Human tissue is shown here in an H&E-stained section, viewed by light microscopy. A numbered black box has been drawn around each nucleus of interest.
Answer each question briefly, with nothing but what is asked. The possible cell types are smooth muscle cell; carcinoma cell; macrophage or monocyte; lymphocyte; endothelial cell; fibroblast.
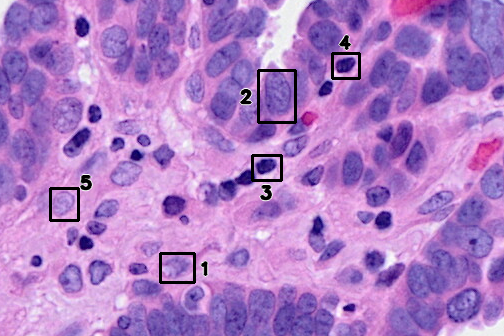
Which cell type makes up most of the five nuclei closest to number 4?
carcinoma cell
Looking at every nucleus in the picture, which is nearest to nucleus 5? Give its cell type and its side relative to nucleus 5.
a fibroblast; to the left of nucleus 5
